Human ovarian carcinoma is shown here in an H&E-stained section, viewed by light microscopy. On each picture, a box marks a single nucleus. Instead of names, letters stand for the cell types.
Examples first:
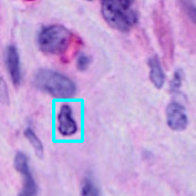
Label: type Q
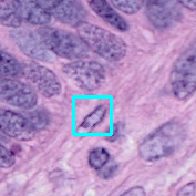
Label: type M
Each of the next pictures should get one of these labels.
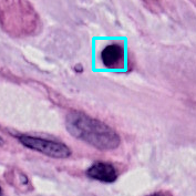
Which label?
type Q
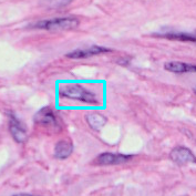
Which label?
type M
